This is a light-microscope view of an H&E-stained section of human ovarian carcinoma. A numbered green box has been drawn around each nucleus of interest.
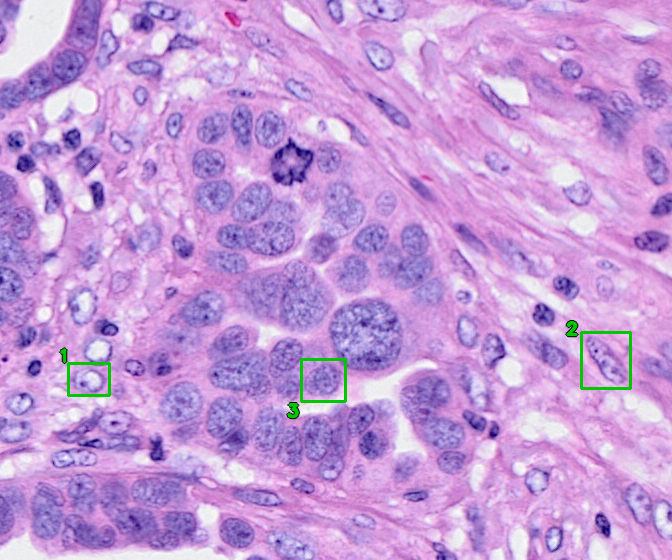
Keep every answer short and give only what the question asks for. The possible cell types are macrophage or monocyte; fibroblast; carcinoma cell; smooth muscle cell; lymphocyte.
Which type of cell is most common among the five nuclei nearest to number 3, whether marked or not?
carcinoma cell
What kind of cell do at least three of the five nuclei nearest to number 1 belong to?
macrophage or monocyte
